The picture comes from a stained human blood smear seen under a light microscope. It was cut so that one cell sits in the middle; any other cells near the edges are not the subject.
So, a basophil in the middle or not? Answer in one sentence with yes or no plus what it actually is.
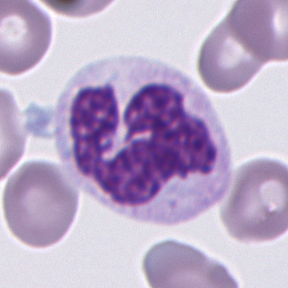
No, the cell sitting in the centre of the crop is a neutrophil, not a basophil.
